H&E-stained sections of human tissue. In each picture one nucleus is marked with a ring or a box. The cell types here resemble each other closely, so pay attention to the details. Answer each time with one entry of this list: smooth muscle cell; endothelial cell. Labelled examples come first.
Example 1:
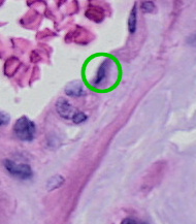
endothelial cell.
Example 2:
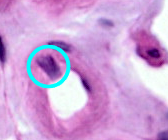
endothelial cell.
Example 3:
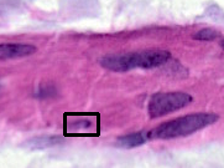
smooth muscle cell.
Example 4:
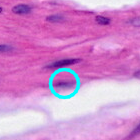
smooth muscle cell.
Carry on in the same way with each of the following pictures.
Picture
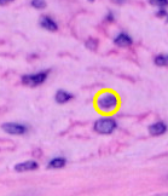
smooth muscle cell.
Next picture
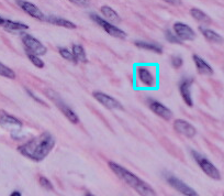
smooth muscle cell.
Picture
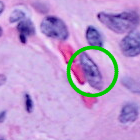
endothelial cell.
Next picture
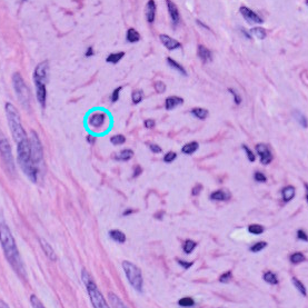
smooth muscle cell.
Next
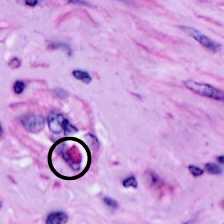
endothelial cell.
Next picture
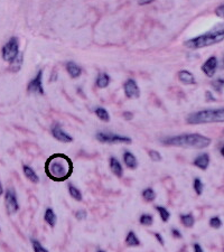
smooth muscle cell.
